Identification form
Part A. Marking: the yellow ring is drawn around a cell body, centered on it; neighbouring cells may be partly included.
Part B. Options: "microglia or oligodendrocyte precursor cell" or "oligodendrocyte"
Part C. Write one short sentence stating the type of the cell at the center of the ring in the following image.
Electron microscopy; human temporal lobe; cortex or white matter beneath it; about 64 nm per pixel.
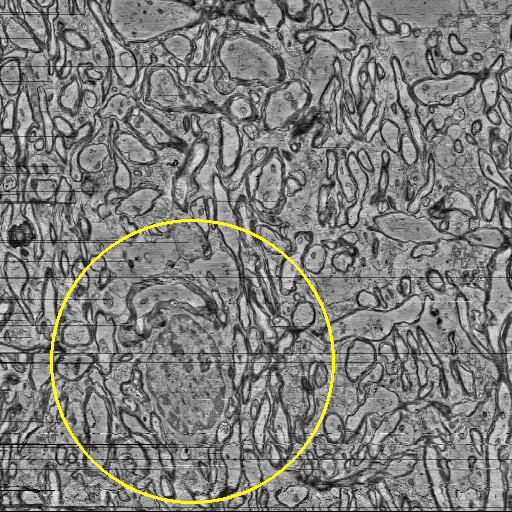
The center of the ring holds an oligodendrocyte.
